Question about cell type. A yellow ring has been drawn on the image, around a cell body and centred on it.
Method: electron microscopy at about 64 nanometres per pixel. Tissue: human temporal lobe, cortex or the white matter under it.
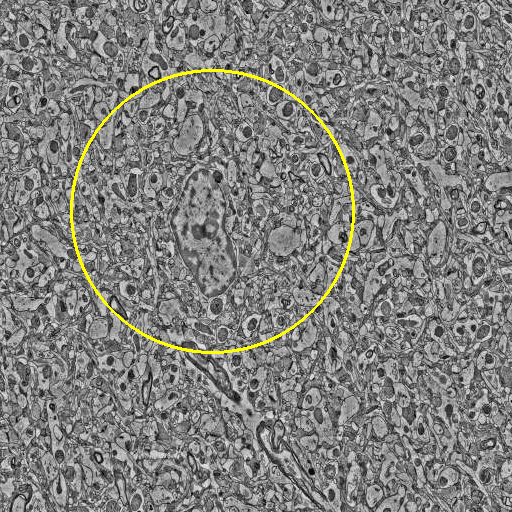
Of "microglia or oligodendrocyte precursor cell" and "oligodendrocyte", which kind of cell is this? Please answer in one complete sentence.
At the centre of the ring lies a microglial cell or oligodendrocyte precursor cell.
